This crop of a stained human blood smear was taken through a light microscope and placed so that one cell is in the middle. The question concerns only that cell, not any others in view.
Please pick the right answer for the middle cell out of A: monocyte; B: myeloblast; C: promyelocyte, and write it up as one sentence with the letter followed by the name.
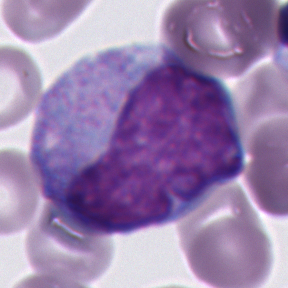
Identification: the cell in the middle is a promyelocyte, matching option C.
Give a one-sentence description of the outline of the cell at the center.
The cell shows a smooth outline that lacks any surface projections.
